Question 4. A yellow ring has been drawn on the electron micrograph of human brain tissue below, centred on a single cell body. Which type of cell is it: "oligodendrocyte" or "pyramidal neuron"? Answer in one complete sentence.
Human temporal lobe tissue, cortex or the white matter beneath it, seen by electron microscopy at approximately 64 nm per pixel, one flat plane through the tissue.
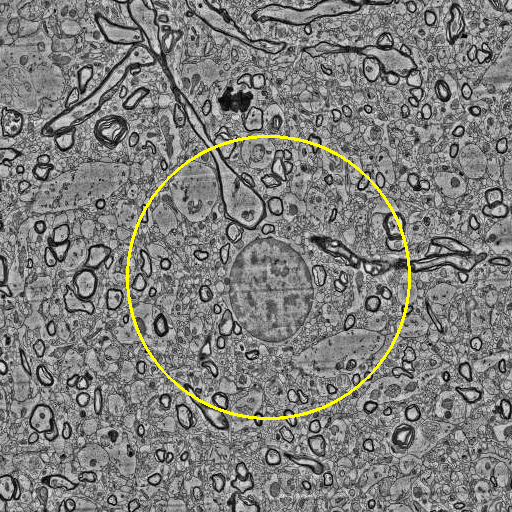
This cell body belongs to an oligodendrocyte.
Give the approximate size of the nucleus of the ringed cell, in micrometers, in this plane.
In this plane the nucleus is about 7 micrometres by 6.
